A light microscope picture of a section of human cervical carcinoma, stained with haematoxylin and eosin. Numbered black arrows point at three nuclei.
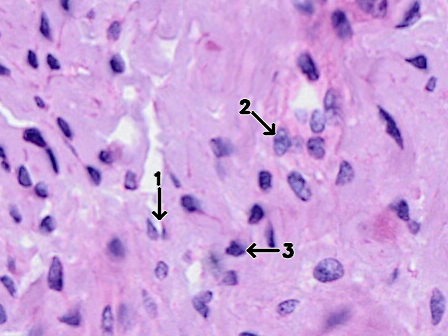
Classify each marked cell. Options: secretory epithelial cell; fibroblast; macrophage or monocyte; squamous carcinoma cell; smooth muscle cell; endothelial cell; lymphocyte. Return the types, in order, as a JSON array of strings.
["fibroblast", "smooth muscle cell", "fibroblast"]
